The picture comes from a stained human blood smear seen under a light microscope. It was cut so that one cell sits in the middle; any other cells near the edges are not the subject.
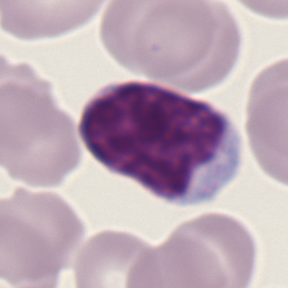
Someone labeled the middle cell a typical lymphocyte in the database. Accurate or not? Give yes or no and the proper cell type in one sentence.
Yes, this is a typical lymphocyte, the cell in the middle of the crop.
